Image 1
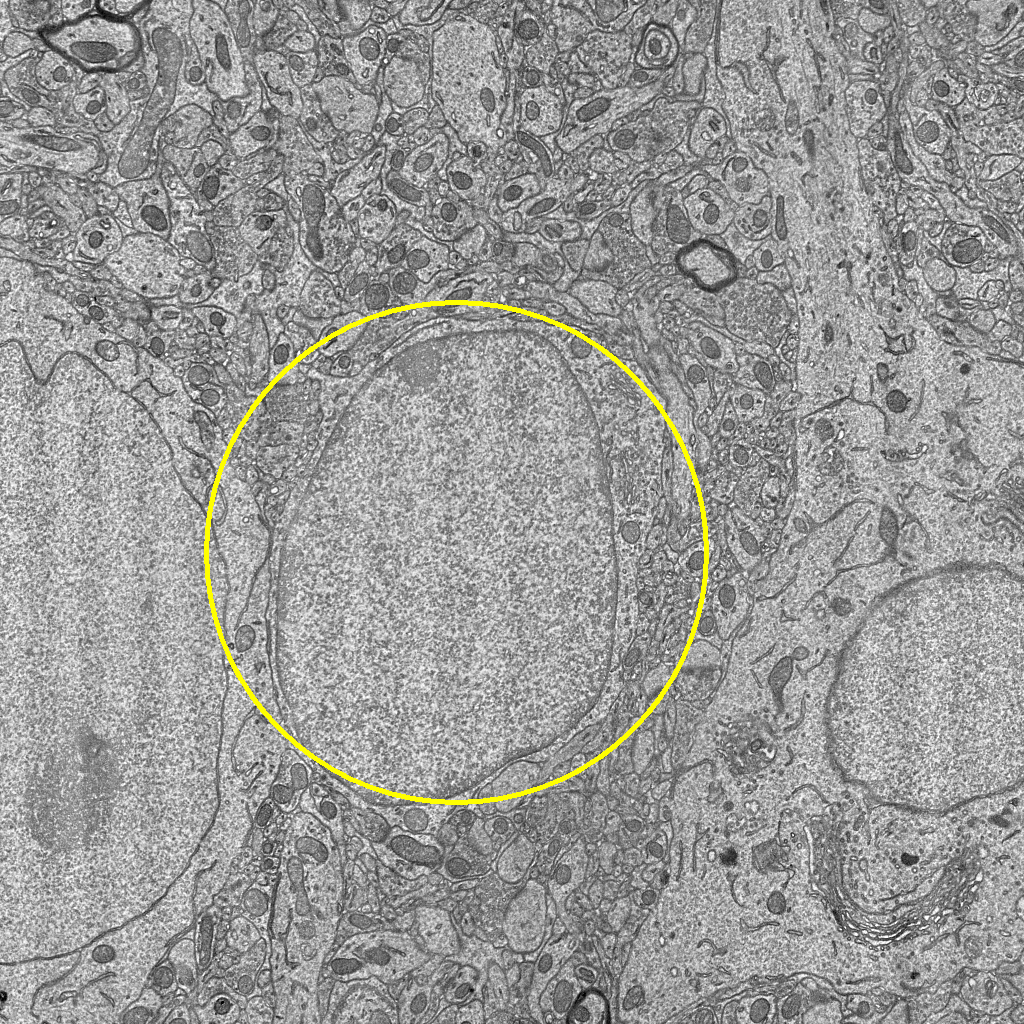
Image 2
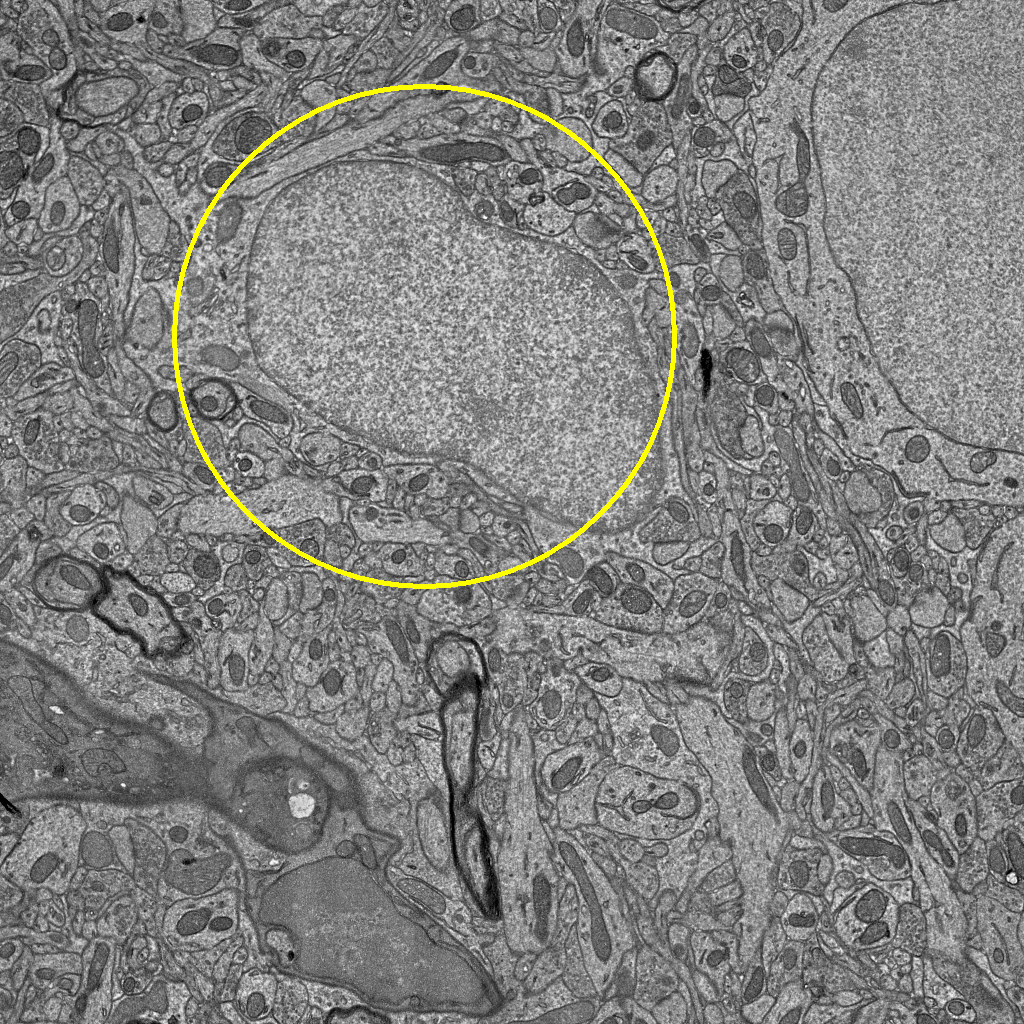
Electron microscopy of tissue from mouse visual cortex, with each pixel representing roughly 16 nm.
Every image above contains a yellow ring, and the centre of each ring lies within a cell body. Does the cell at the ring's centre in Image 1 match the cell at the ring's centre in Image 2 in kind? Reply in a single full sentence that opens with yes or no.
Yes, the cell at the ring's centre in Image 1 is the same kind as that in Image 2.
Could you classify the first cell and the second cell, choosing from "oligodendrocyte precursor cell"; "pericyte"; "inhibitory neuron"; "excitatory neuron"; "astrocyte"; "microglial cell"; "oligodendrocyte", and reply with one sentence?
The ring centre holds an astrocyte in each of the two pictures.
